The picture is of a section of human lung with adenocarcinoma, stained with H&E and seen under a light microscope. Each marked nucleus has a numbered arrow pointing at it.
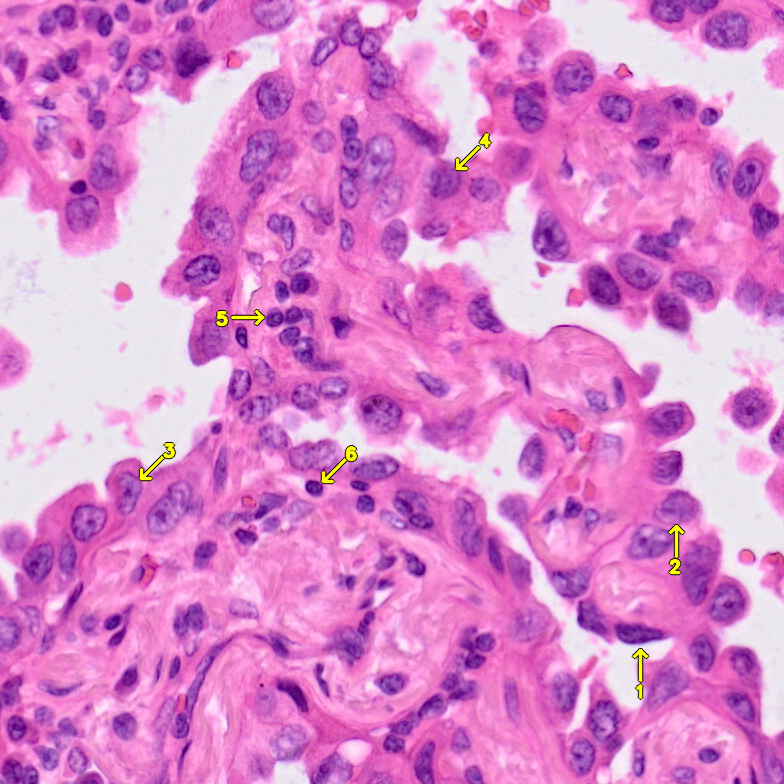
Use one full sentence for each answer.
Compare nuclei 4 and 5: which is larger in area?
Number 4 is larger; its area is about 3 times that of number 5.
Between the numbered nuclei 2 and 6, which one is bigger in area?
Nucleus 2 is the larger one, covering about 3 times the area of nucleus 6.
